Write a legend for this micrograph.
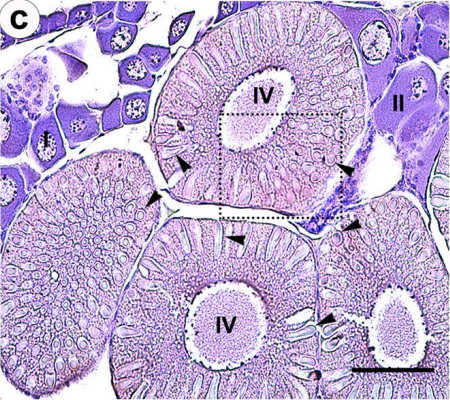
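A section of ovary in which several very large, late-stage oocytes lie beside small early oocytes. The large oocytes carry a broad peripheral zone of elongated rods set radially around a central clear area, with finely granular purple cytoplasm between them. The small early oocytes have darker, dense cytoplasm and a large round nucleus with speckled chromatin.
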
